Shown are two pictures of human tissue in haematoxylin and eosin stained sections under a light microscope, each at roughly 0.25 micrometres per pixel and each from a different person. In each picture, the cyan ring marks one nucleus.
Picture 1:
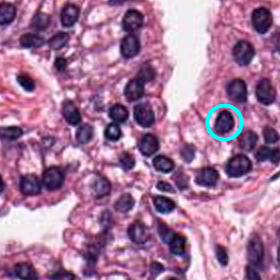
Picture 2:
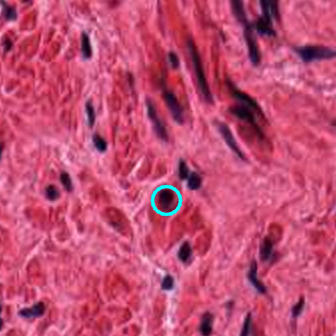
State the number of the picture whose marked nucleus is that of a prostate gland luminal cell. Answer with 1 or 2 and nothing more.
1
